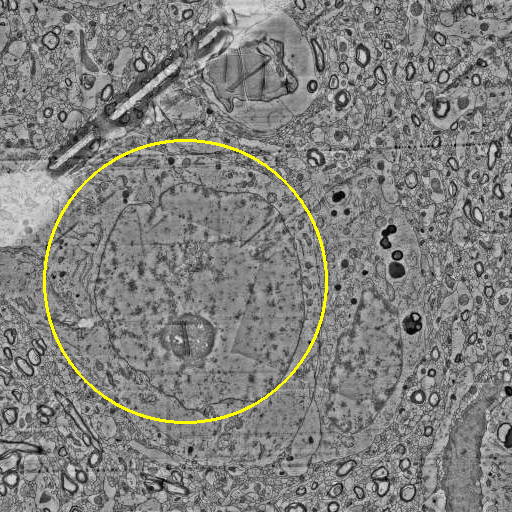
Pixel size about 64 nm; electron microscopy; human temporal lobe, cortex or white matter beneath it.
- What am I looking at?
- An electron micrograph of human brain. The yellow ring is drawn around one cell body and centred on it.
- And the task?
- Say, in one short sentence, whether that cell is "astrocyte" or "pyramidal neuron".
The cell in the middle of the ring is a pyramidal neuron.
